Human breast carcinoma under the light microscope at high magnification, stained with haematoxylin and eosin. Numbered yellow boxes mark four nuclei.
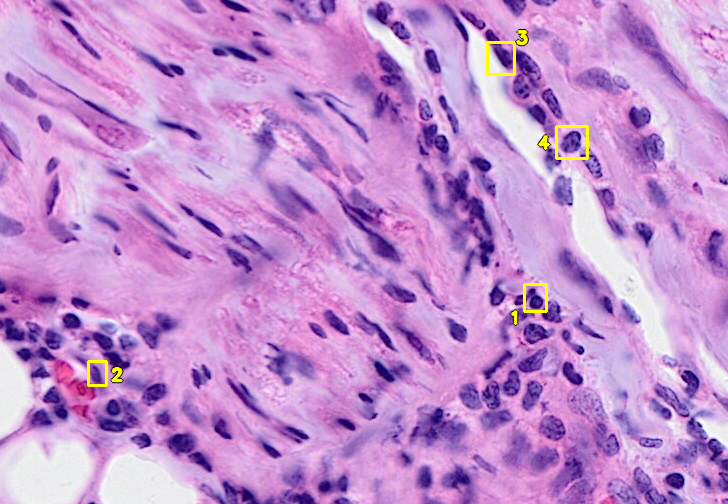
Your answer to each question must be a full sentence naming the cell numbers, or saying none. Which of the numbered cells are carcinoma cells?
No representatives of carcinoma cells are found among the numbered cells.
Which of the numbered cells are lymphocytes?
Into the category of lymphocytes fall the cells numbered 1, 3 and 4.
